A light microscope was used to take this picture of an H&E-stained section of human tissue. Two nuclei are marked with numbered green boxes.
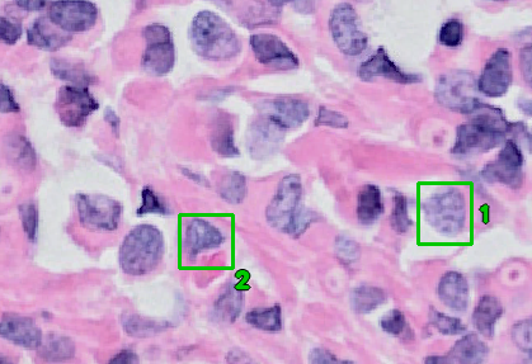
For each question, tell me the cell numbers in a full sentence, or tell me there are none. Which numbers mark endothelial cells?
Cell 2 is the single numbered cell that is an endothelial cell.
